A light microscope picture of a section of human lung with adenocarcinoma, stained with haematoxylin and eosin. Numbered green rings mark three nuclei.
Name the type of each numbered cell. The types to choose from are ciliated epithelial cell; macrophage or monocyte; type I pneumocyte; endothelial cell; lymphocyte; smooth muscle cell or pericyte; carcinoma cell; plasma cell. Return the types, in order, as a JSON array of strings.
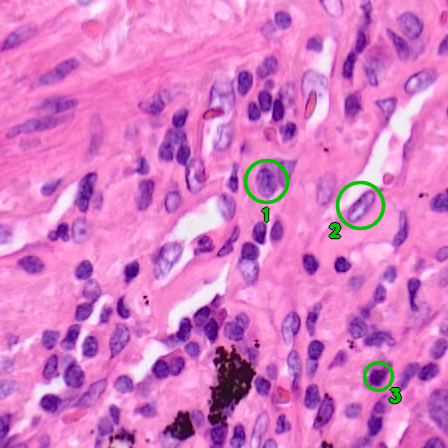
["lymphocyte", "endothelial cell", "plasma cell"]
